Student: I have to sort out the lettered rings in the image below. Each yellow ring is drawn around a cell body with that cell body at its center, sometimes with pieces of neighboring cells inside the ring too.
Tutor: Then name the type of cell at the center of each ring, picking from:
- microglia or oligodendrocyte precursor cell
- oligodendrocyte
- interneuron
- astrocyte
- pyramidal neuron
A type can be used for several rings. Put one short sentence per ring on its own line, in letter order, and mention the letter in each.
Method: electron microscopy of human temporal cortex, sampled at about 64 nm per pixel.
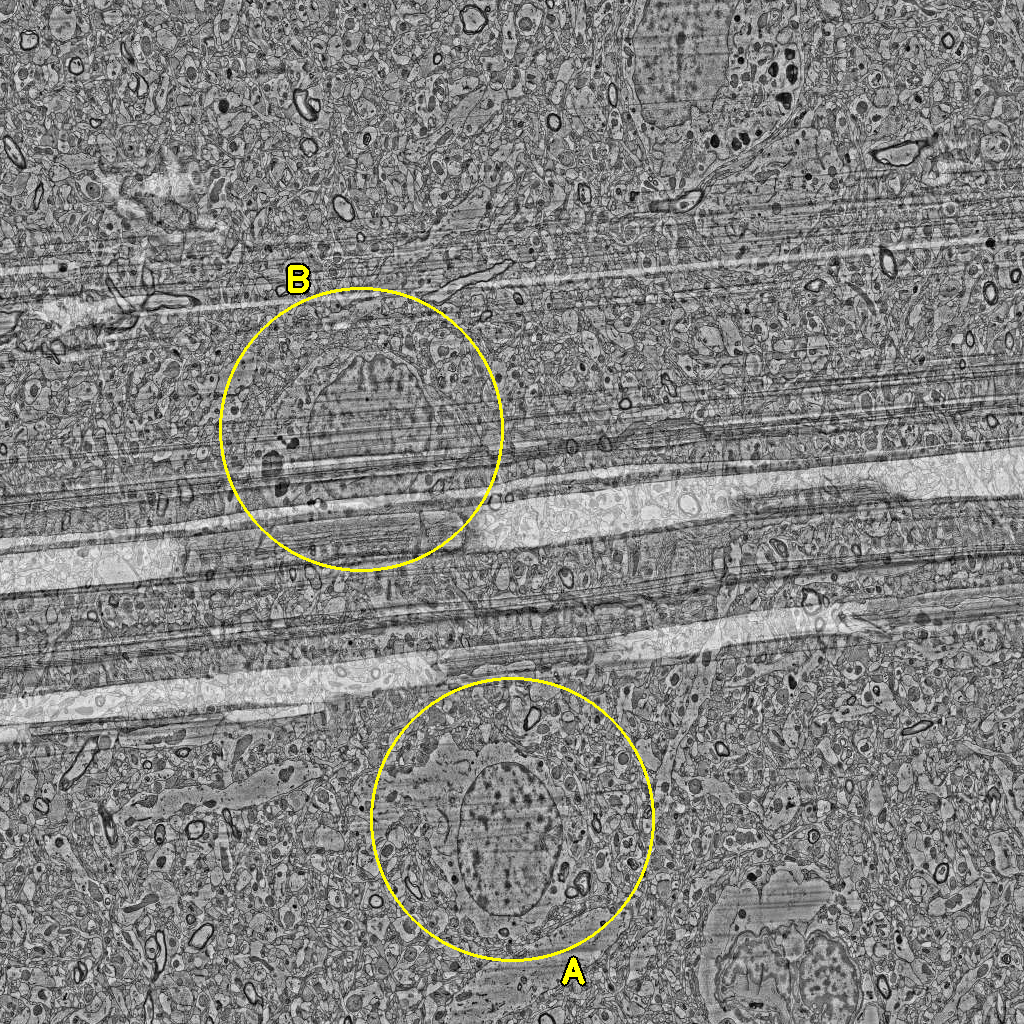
Inside ring A, at its center, is an astrocyte.
Inside ring B, at its center, is an interneuron.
